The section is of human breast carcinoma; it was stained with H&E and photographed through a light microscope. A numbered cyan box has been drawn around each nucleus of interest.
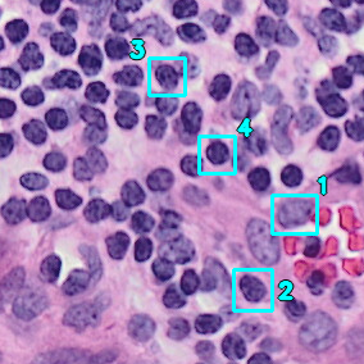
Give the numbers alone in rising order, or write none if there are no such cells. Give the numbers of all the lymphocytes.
2, 3, 4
